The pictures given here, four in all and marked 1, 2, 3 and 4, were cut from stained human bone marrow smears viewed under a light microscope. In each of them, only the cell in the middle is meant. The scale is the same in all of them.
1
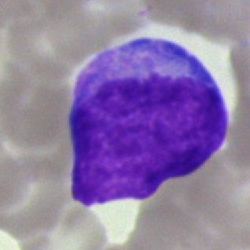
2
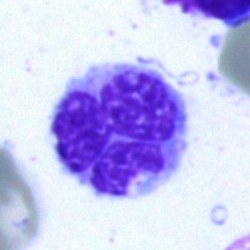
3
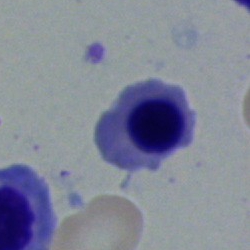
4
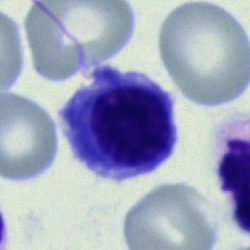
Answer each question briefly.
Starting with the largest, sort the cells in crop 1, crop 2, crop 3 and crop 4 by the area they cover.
1, 2, 4, 3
